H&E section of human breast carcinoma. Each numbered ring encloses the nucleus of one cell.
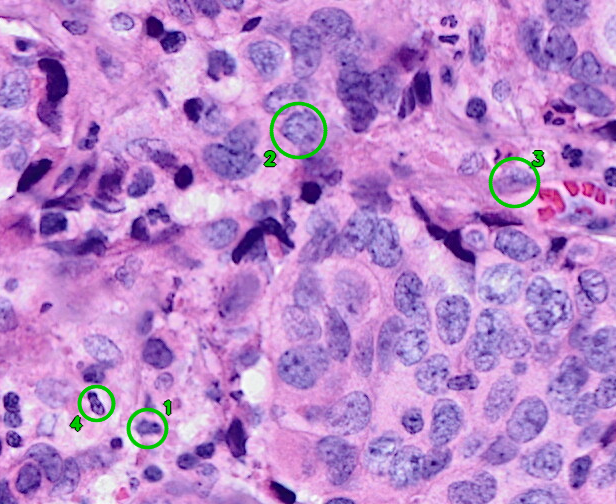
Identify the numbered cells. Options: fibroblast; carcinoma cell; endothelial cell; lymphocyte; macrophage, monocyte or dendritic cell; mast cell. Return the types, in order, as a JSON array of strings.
["lymphocyte", "carcinoma cell", "endothelial cell", "lymphocyte"]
